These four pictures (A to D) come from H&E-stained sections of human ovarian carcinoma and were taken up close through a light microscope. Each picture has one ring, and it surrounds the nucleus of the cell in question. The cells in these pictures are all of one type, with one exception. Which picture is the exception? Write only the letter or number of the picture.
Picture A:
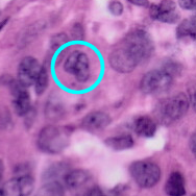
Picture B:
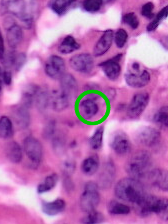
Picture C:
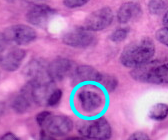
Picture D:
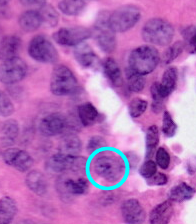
D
